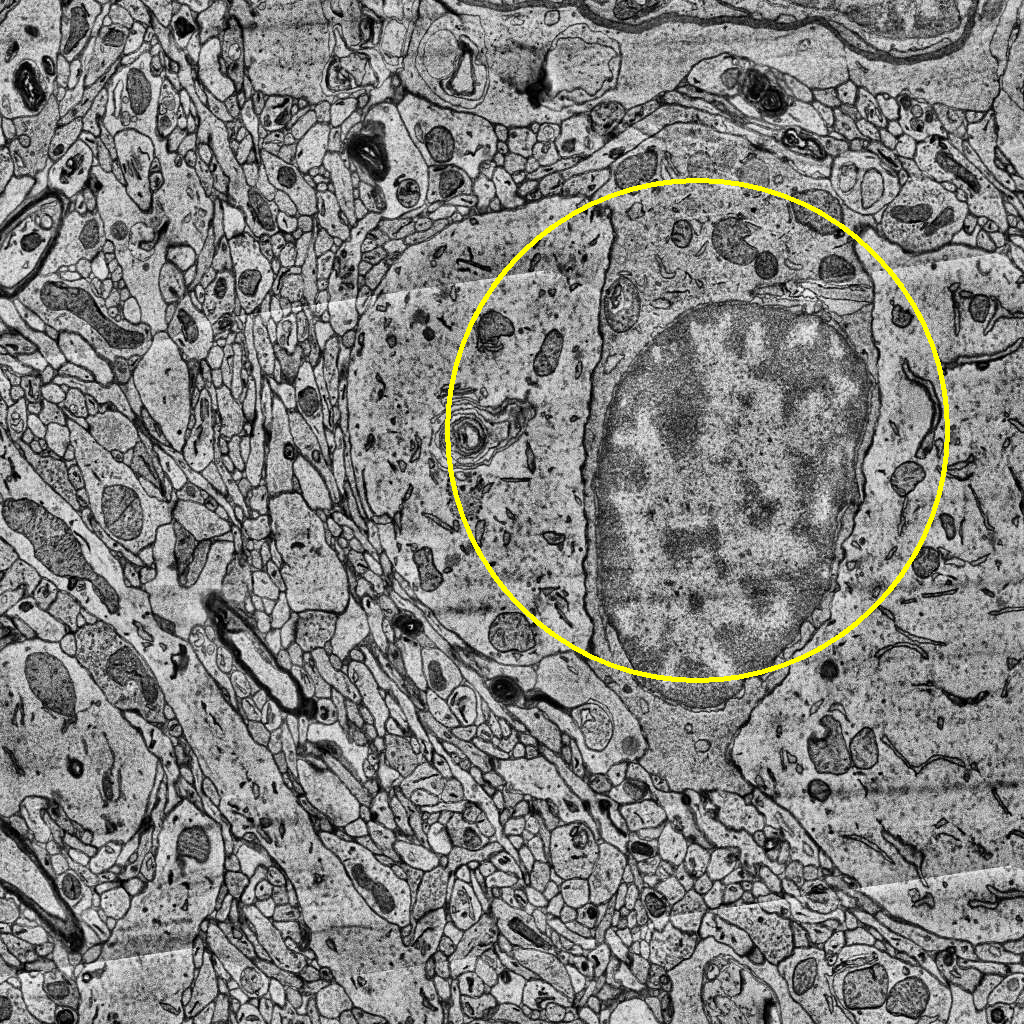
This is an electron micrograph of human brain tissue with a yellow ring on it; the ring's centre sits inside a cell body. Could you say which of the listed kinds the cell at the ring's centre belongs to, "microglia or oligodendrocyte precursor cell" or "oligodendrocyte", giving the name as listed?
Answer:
oligodendrocyte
